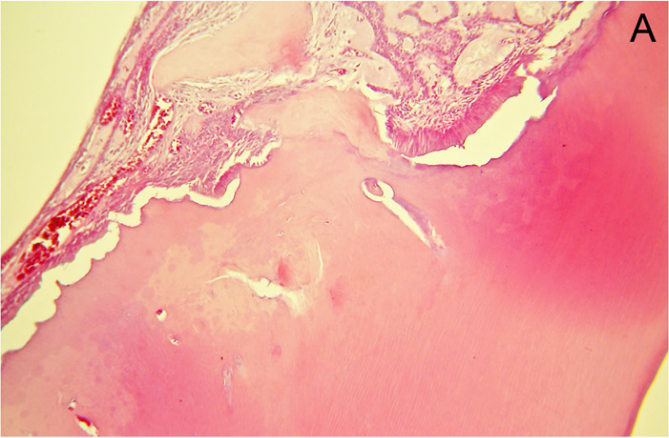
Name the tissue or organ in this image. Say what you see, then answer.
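Dentin. A broad, homogeneous pink acellular hard-tissue matrix fills most of the panel. Its border with the soft tissue is scalloped.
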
